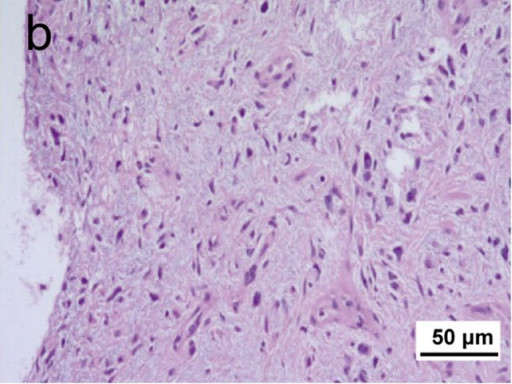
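Section of a cellular lesion made up of spindle-shaped to oval cells set in a pink fibrillary stroma. Nuclei are elongated to oval, dark purple, and vary somewhat in size and shape. The cells lie loosely and haphazardly, without a clear layered arrangement. Small pale clefts and looser areas interrupt the tissue in places.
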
